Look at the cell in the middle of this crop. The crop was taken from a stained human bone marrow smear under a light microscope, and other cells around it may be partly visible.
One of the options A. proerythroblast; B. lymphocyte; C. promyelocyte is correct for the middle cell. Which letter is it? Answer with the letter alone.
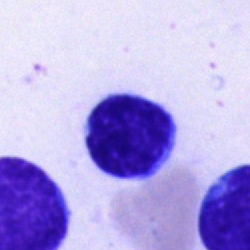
B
